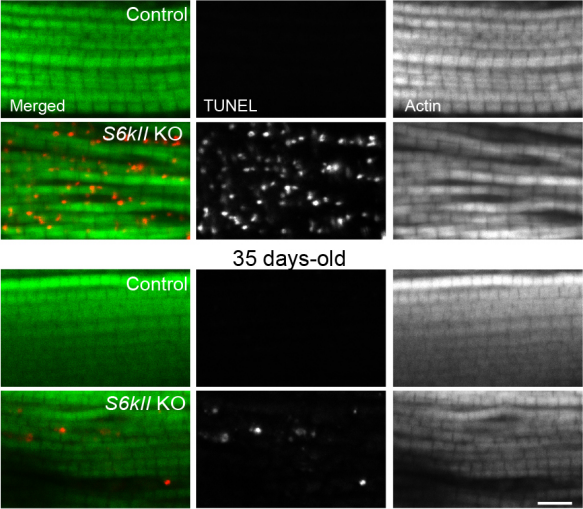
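In some images the middle channel is completely dark. In others it shows many small, bright, round to oval dots scattered across the fibres, and these appear as red spots in the merged image. Where they are numerous, the fibres around them look less evenly aligned.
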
